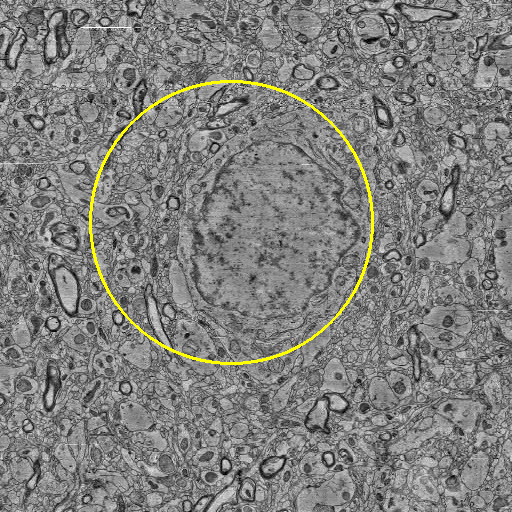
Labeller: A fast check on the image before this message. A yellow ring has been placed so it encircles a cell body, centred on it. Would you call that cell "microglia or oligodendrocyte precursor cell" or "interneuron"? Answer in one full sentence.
In this image, an interneuron is the cell on which the yellow ring is centred.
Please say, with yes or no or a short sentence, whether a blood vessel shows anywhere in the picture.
No, there is none.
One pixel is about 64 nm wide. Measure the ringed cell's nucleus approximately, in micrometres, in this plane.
The ringed cell's nucleus is about 11 micrometres across in this plane.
